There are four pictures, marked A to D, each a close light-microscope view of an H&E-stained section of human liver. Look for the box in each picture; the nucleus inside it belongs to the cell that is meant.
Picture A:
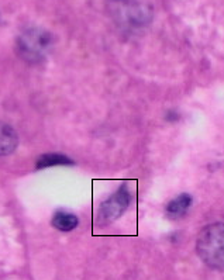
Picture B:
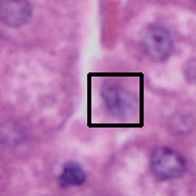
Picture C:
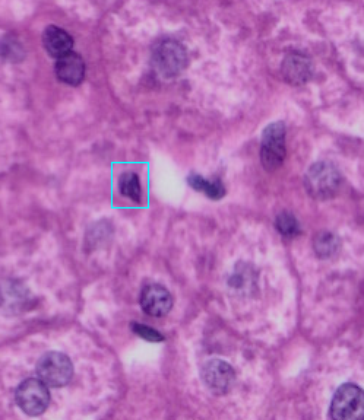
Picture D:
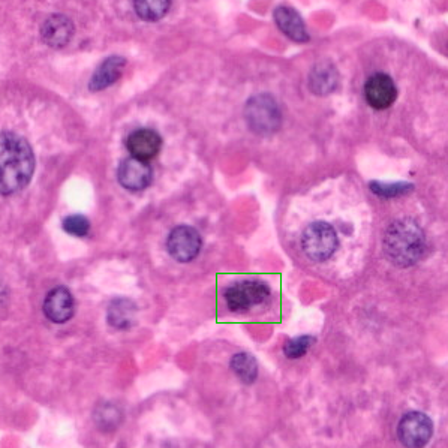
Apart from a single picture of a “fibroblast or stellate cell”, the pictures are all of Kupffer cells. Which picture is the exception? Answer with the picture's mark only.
C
